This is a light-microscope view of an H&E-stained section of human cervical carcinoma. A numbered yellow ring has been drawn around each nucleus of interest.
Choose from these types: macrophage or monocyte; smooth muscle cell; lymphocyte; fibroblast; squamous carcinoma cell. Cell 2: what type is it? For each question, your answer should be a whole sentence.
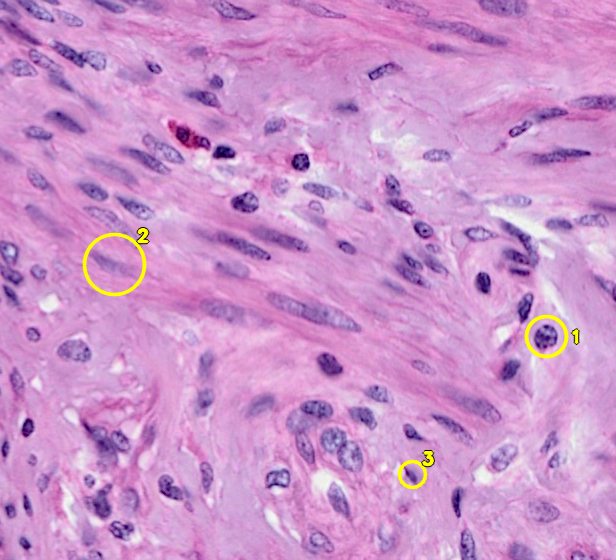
The cell referenced by the number 2 is a smooth muscle cell in this field.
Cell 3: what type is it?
The one numbered 3 among the marked cells is a fibroblast.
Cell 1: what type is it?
Belonging to a lymphocyte is the nucleus that carries the number 1.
